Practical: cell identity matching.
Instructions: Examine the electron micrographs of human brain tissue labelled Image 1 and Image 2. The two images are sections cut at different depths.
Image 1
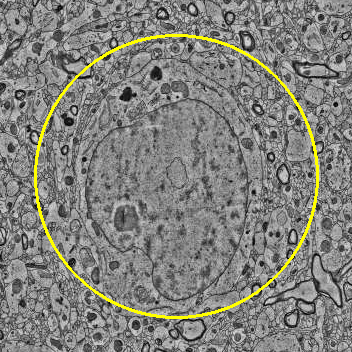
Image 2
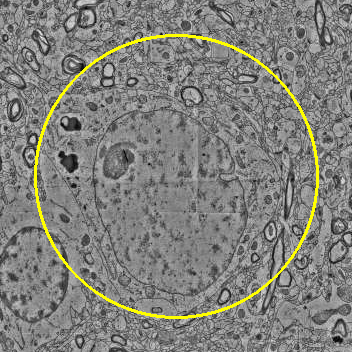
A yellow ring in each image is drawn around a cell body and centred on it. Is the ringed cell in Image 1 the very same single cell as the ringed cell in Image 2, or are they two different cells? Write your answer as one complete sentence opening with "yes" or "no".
No, each ring in the micrograph marks a distinct cell.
